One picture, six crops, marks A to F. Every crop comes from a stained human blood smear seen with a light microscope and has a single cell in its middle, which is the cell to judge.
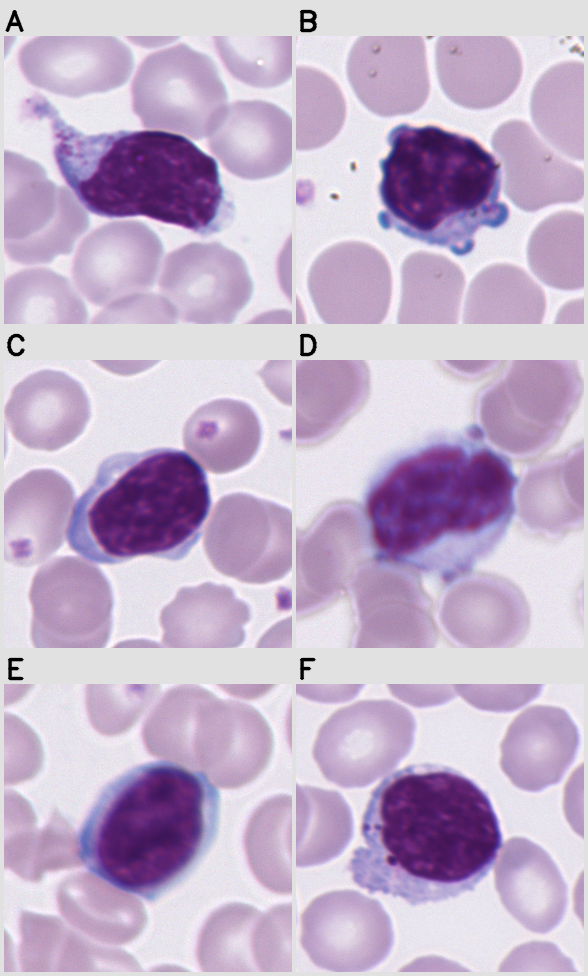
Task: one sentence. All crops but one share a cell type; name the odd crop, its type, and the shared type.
Apart from crop A, which shows a large granular lymphocyte, every crop shows typical lymphocytes.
